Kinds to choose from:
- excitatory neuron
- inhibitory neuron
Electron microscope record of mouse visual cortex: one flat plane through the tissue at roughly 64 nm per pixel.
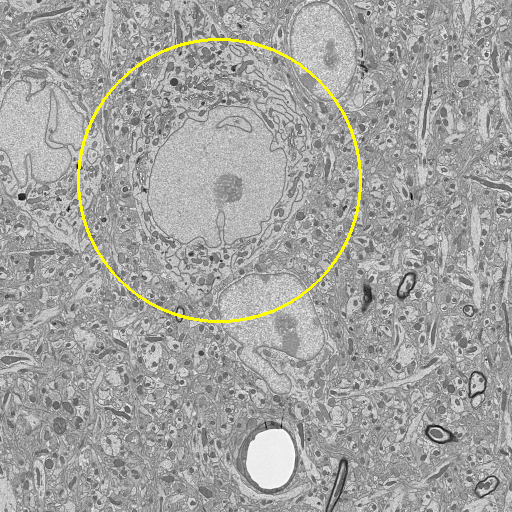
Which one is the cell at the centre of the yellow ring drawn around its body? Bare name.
inhibitory neuron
